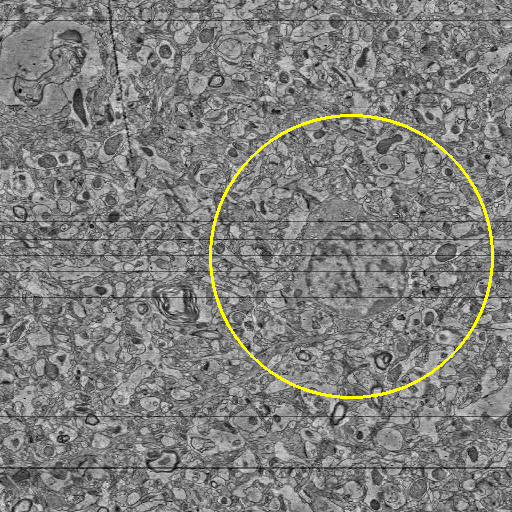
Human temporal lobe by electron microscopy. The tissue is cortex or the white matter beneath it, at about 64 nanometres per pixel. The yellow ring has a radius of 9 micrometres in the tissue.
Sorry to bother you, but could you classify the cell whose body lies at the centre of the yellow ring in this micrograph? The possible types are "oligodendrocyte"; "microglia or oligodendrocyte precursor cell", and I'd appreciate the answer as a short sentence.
The ringed cell body is that of an oligodendrocyte.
